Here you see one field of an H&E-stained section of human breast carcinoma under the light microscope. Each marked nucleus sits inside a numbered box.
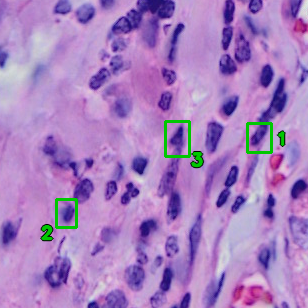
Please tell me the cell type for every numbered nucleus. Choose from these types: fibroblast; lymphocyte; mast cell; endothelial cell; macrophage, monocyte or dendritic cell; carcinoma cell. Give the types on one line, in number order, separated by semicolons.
endothelial cell; lymphocyte; lymphocyte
